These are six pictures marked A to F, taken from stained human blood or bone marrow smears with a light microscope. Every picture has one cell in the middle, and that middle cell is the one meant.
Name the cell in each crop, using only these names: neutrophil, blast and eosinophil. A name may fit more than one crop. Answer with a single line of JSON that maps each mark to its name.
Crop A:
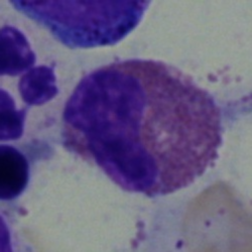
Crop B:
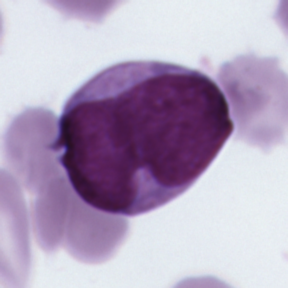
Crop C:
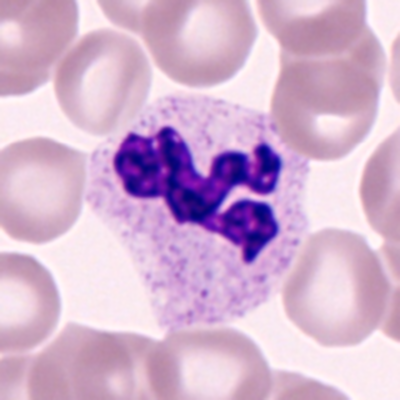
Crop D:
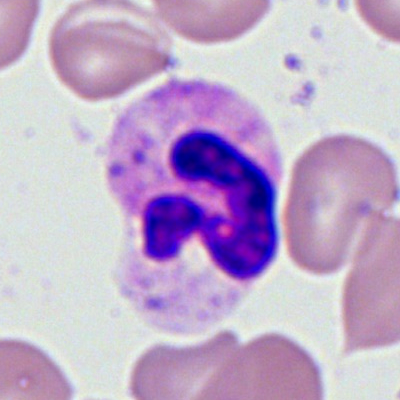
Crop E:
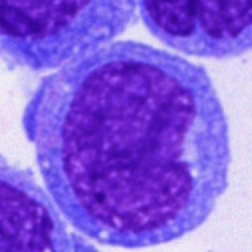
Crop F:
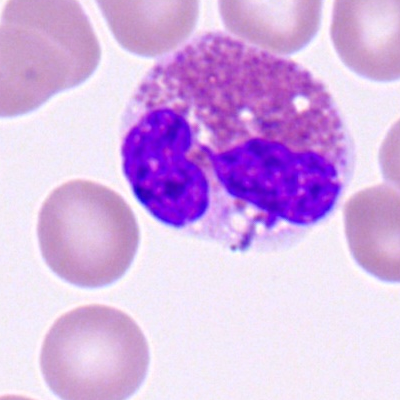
{"A": "eosinophil", "B": "blast", "C": "neutrophil", "D": "neutrophil", "E": "blast", "F": "eosinophil"}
